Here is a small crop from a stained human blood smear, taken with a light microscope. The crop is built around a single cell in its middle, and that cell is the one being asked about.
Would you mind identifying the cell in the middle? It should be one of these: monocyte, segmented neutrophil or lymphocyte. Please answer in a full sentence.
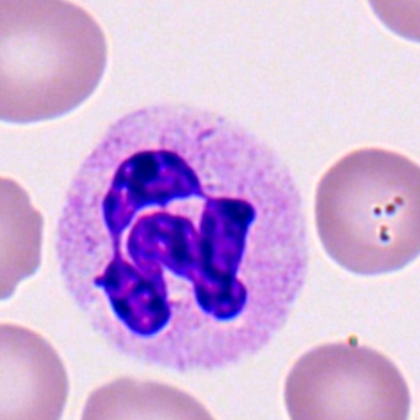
Framed in the middle of the crop is a segmented neutrophil.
